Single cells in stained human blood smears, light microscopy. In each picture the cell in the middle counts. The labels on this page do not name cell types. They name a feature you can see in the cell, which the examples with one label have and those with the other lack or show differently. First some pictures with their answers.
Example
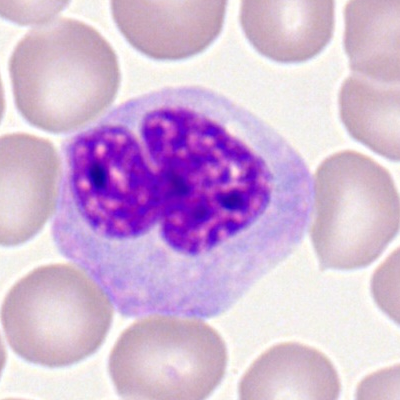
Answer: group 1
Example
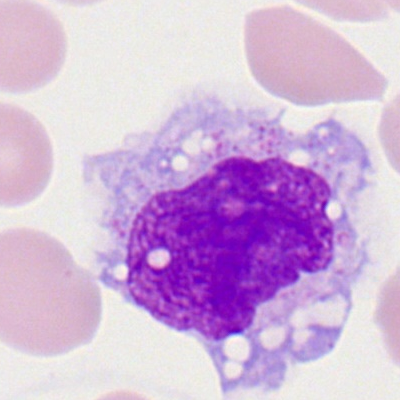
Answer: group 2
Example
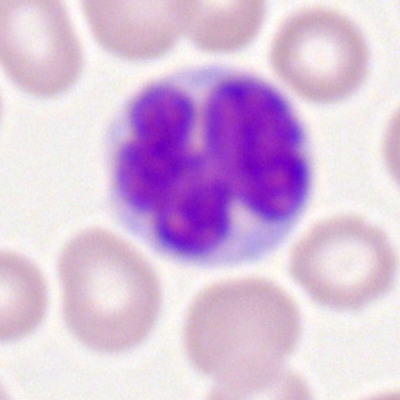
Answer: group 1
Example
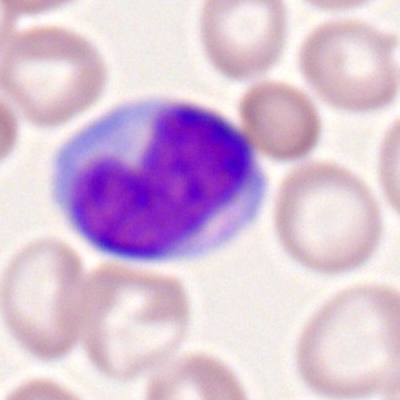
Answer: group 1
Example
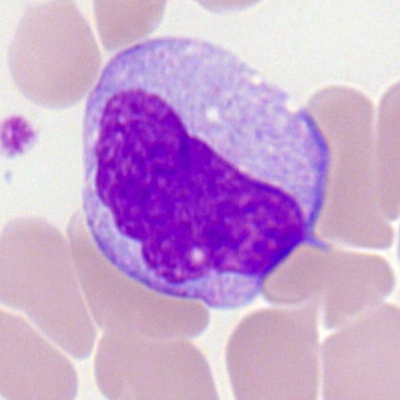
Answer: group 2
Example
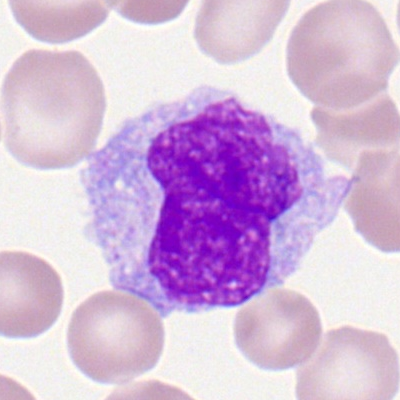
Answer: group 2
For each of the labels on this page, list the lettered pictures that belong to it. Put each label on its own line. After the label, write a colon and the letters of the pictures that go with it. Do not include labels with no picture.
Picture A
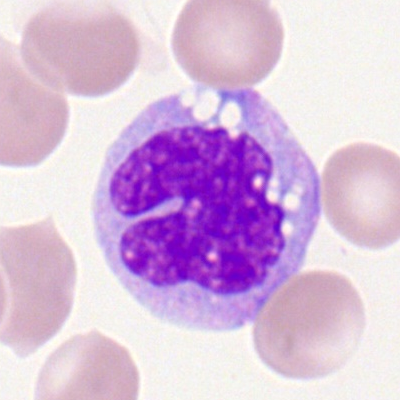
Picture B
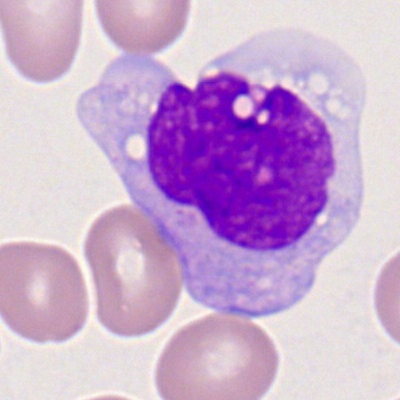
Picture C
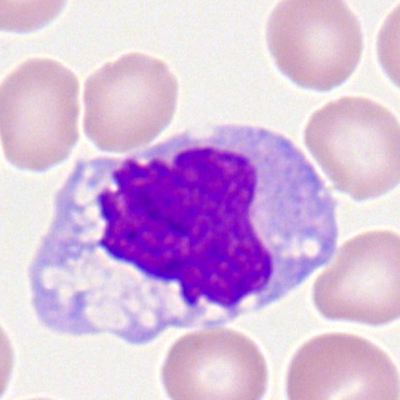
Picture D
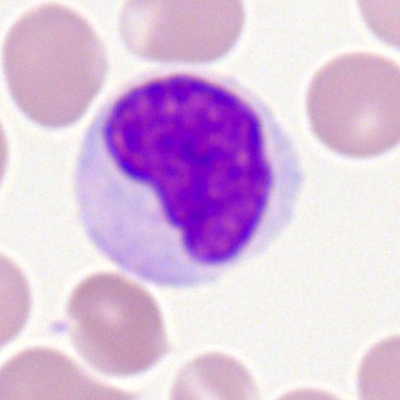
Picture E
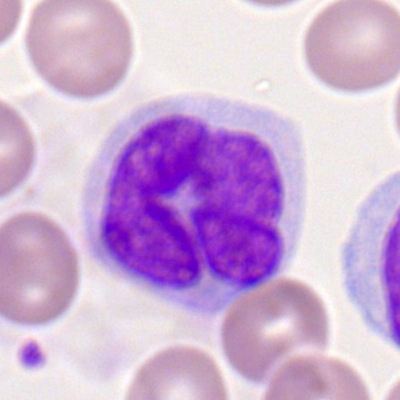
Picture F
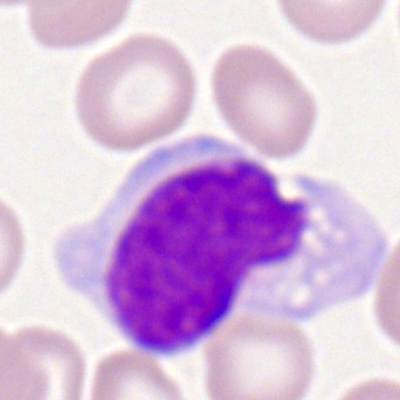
group 1: D, E
group 2: A, B, C, F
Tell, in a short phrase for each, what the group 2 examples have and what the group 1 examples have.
In group 2: vacuoles present. In group 1: no vacuoles.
